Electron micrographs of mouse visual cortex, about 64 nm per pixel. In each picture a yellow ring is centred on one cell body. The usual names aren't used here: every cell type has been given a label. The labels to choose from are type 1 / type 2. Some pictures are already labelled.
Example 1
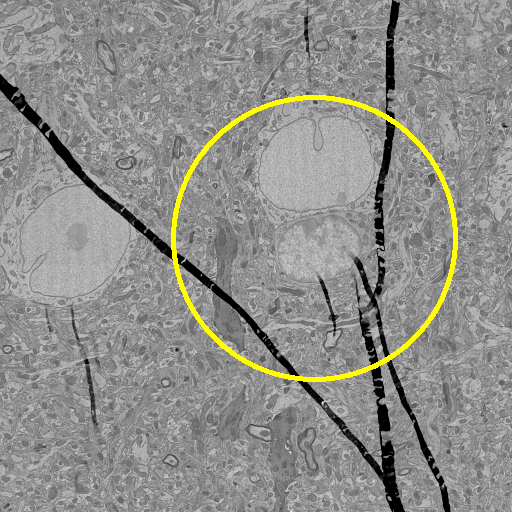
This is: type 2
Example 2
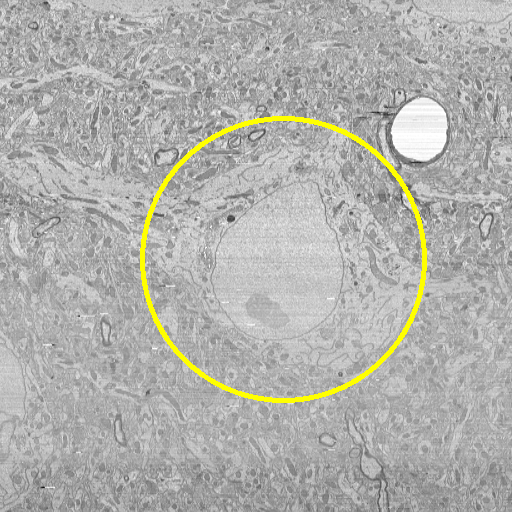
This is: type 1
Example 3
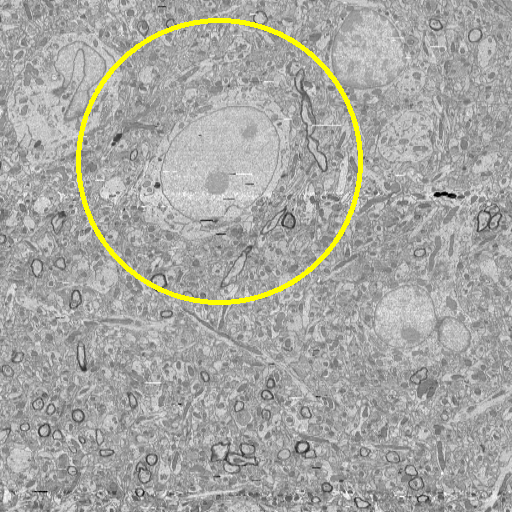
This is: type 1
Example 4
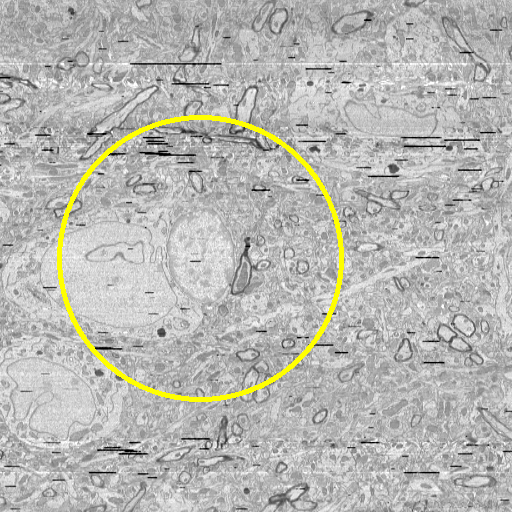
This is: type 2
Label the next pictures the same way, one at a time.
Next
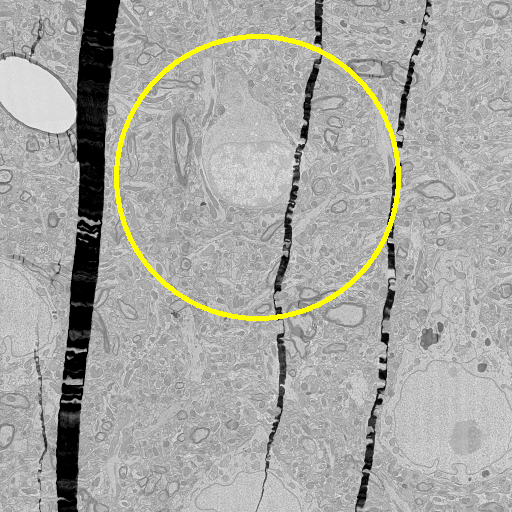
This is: type 2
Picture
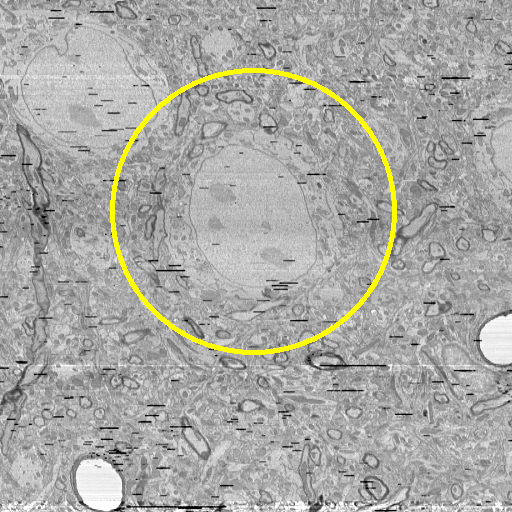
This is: type 1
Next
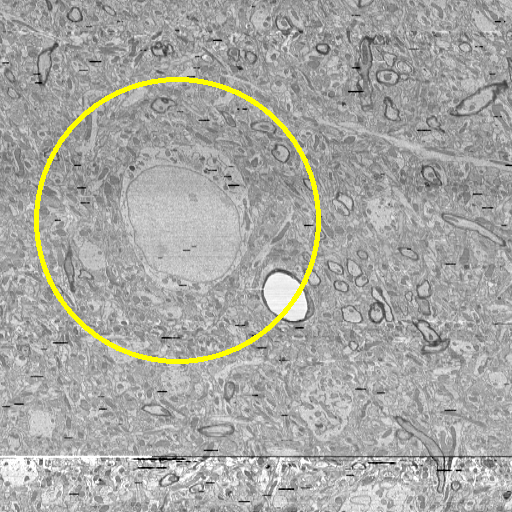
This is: type 1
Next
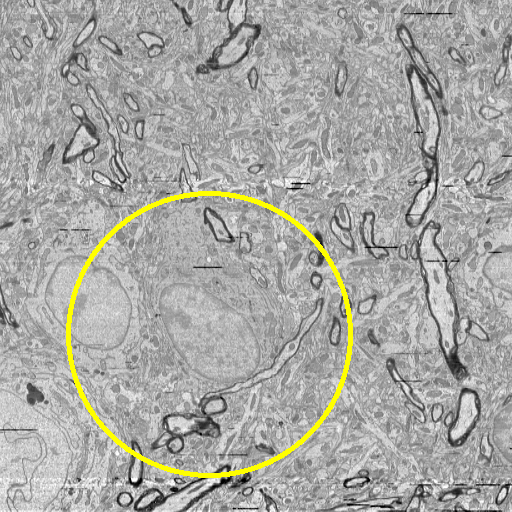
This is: type 2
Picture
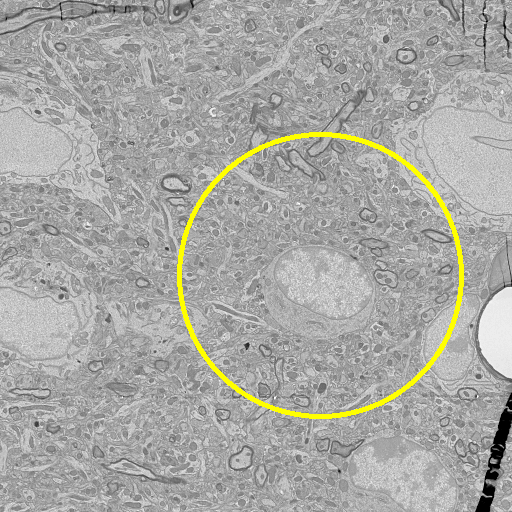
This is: type 2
